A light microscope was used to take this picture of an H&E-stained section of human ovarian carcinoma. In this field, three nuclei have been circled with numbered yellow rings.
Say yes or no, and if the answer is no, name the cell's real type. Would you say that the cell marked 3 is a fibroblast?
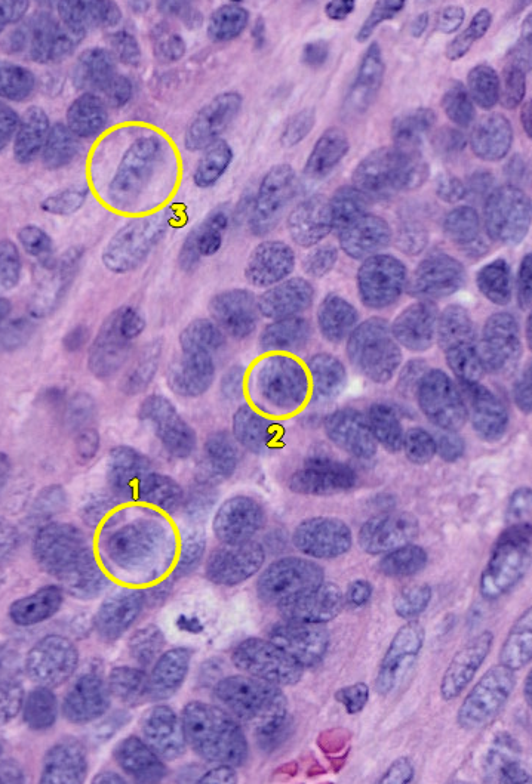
Yes.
